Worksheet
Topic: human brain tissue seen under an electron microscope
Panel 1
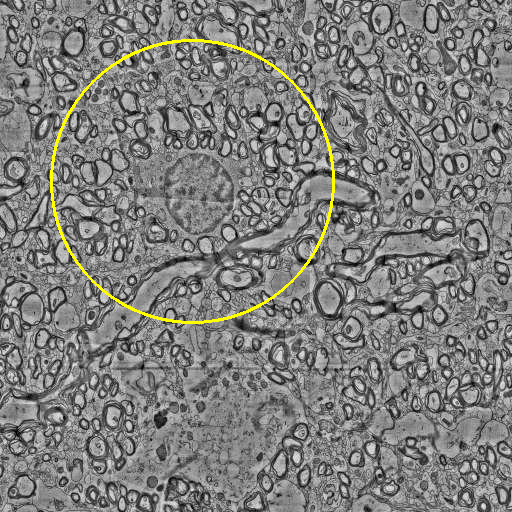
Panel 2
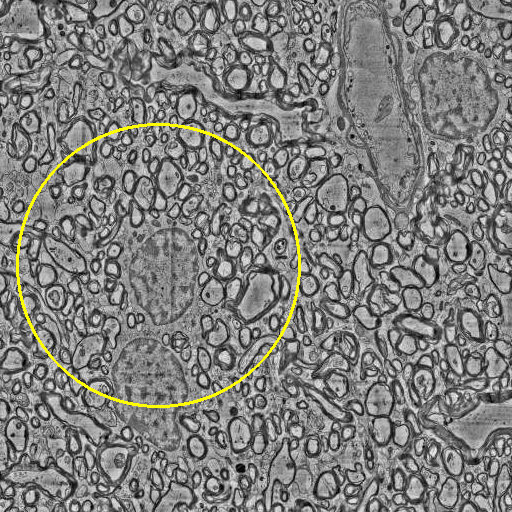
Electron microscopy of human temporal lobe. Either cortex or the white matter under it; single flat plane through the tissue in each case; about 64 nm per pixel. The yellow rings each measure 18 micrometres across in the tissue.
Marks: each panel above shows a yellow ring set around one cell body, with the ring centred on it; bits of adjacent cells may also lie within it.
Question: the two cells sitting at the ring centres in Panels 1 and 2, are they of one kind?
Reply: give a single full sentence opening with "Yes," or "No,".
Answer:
Yes, the two ring-centre cells in Panel 1 and Panel 2 are of one kind.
